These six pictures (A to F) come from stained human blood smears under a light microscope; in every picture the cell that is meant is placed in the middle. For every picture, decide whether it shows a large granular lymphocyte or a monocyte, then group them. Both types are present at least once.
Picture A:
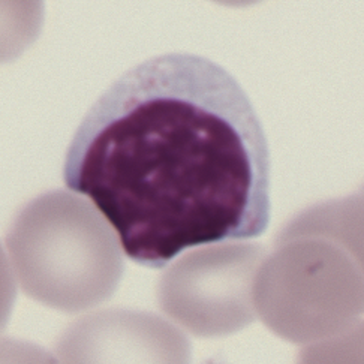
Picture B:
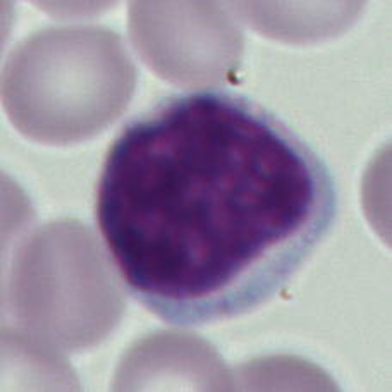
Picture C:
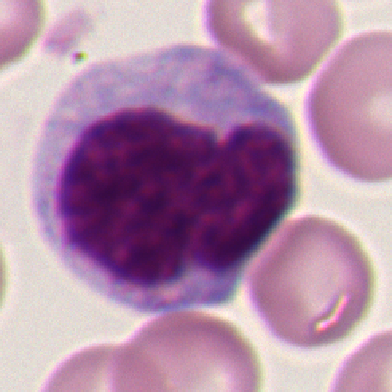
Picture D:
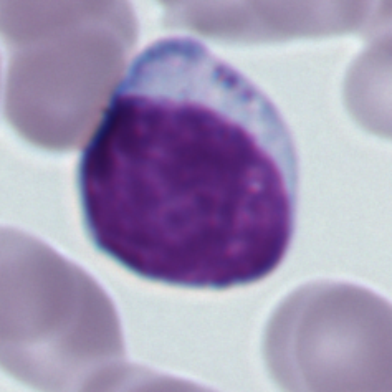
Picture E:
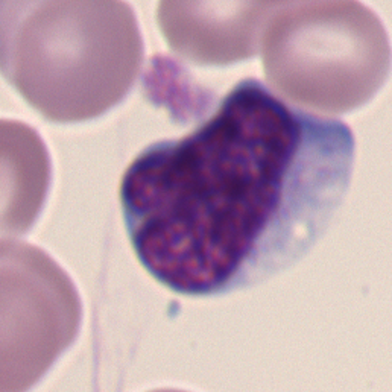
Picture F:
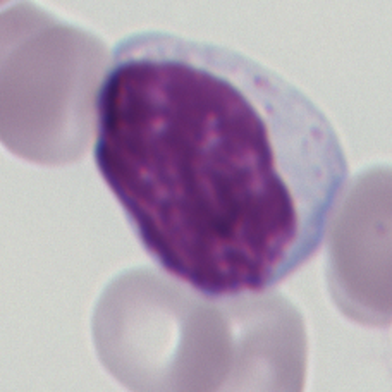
A: large granular lymphocyte
B: large granular lymphocyte
C: monocyte
D: large granular lymphocyte
E: monocyte
F: large granular lymphocyte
